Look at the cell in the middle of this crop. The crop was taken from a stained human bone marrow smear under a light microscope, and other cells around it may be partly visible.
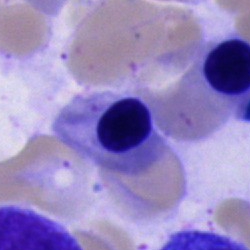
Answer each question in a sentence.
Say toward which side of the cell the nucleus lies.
The nucleus lies toward the top of the cell.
